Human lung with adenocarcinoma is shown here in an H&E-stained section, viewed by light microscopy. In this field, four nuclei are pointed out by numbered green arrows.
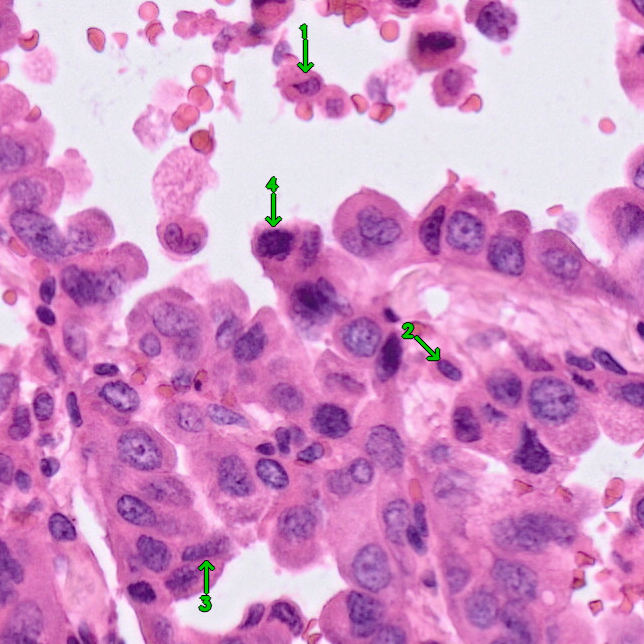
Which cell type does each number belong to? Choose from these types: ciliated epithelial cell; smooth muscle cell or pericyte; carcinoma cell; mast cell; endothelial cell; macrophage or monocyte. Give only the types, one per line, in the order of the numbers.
macrophage or monocyte
mast cell
carcinoma cell
carcinoma cell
